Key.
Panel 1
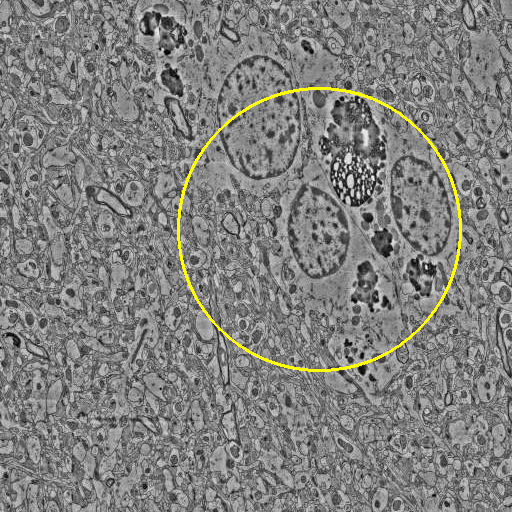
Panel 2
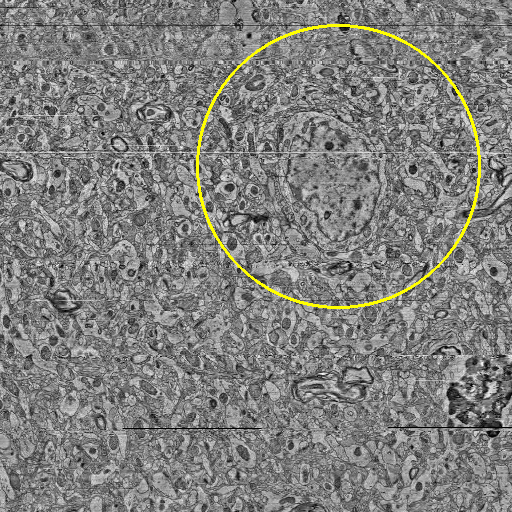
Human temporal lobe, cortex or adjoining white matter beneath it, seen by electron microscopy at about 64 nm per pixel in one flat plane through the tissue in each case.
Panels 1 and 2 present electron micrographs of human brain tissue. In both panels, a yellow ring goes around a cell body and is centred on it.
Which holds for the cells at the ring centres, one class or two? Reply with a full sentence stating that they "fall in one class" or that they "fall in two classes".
Taken together, the ring-centre cells of the two panels fall in two classes.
